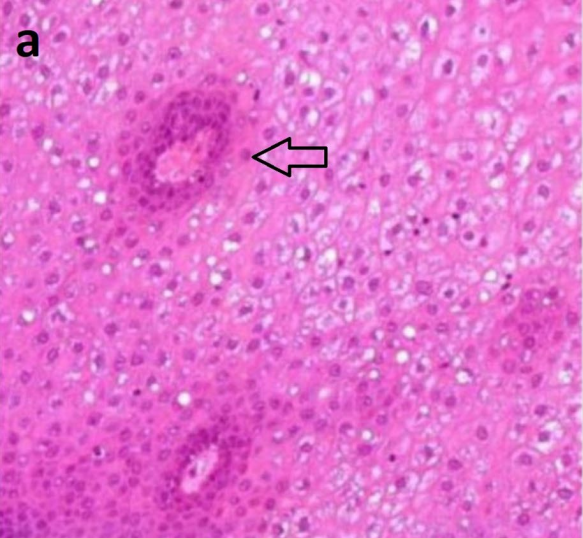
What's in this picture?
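This is stratified squamous epithelium cut tangentially, seen as a sheet of polygonal squamous cells with capillaries cut across. Most cells are large and polygonal, with pink cytoplasm, distinct borders and round purple nuclei; many contain small clear vacuoles, giving a bubbly look. Scattered throughout are two roughly round foci where a small pale central lumen, the capillary, is encircled by a cuff of smaller, crowded cells with dark purple nuclei, resembling basal-type cells around a papilla. Away from these foci the cells become larger and paler. No marked nuclear atypia or disorder of the cell pattern is apparent.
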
